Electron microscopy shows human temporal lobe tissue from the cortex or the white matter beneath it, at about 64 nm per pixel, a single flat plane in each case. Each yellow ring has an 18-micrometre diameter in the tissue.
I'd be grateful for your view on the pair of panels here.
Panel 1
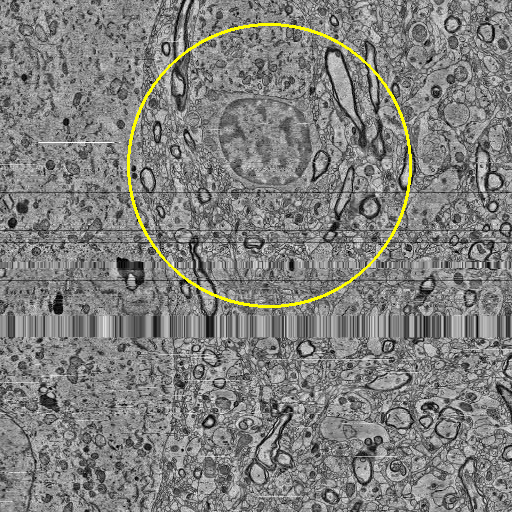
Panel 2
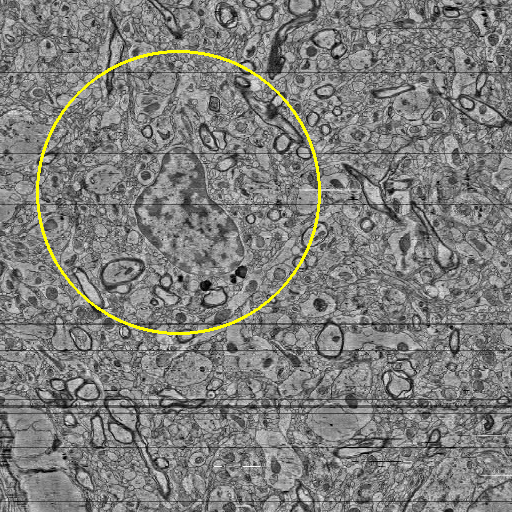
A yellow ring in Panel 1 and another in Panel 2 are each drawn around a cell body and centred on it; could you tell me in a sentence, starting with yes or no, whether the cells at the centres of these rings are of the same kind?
No, they are two kinds of cell.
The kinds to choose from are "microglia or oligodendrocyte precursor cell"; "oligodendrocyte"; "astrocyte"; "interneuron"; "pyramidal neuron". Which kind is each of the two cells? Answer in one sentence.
Of the two, the first cell is an oligodendrocyte and the second cell is a microglial cell or oligodendrocyte precursor cell.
